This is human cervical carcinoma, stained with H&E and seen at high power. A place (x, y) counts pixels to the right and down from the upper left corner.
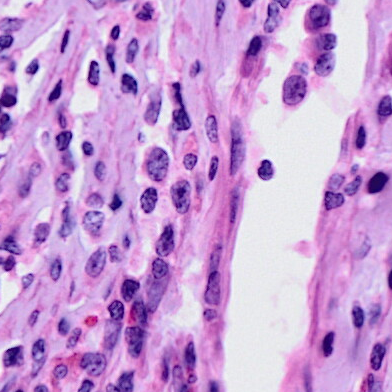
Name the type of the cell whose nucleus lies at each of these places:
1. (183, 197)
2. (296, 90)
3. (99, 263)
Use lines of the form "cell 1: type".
cell 1: lymphocyte
cell 2: macrophage or monocyte
cell 3: macrophage or monocyte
